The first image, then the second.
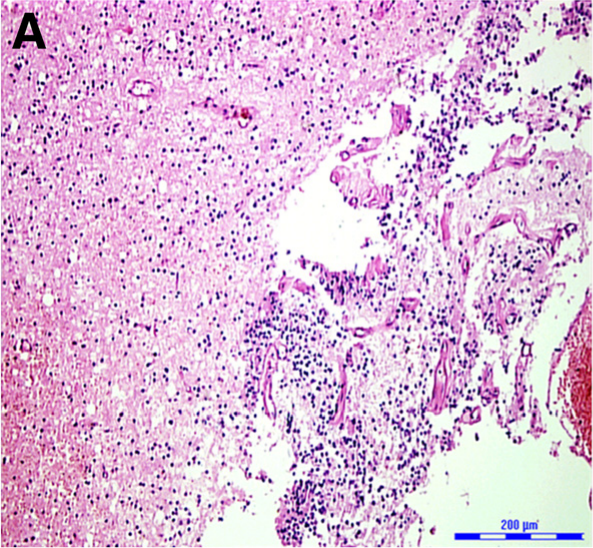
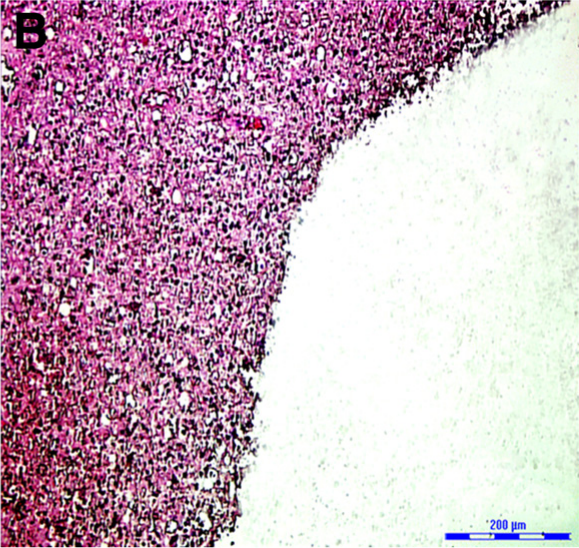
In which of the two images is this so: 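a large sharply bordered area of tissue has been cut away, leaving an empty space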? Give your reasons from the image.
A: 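Second image: a broad empty, unstained area fills the right half, bounded by a sharp curved edge of dense tissue. First image: pink tissue with scattered nuclei extends across most of the field, with only loose, frayed fragments at the right.
Answer: the second image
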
